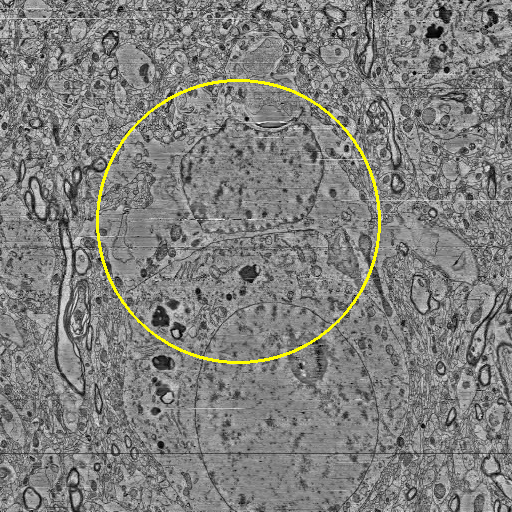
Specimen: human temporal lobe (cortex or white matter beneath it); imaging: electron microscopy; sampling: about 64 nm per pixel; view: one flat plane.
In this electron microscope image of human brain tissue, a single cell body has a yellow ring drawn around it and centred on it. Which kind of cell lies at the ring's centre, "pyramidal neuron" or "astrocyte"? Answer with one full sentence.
It is an astrocyte whose cell body lies at the centre of the yellow ring here.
